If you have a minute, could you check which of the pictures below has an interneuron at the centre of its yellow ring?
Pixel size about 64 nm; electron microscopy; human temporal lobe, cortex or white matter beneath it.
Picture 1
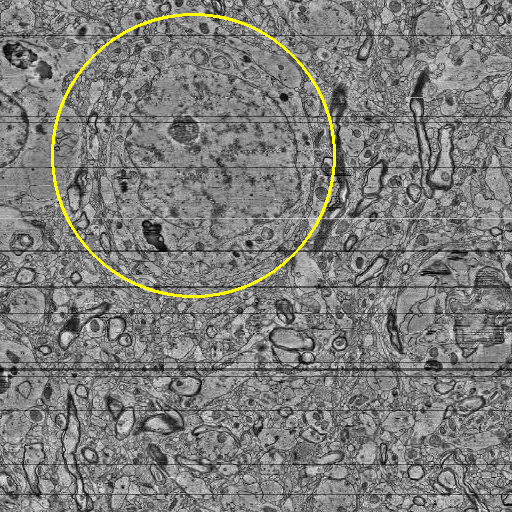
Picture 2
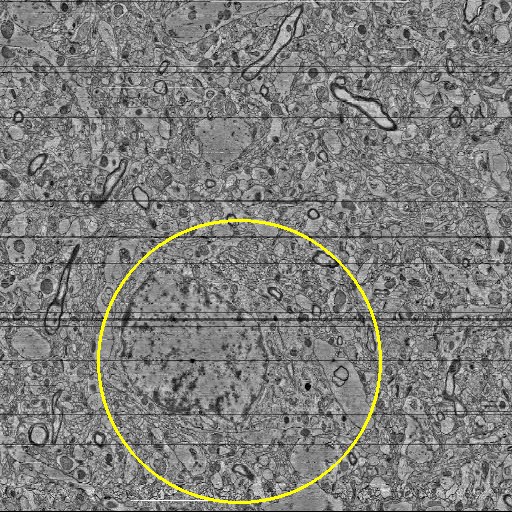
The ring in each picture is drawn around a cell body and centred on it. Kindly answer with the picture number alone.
2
